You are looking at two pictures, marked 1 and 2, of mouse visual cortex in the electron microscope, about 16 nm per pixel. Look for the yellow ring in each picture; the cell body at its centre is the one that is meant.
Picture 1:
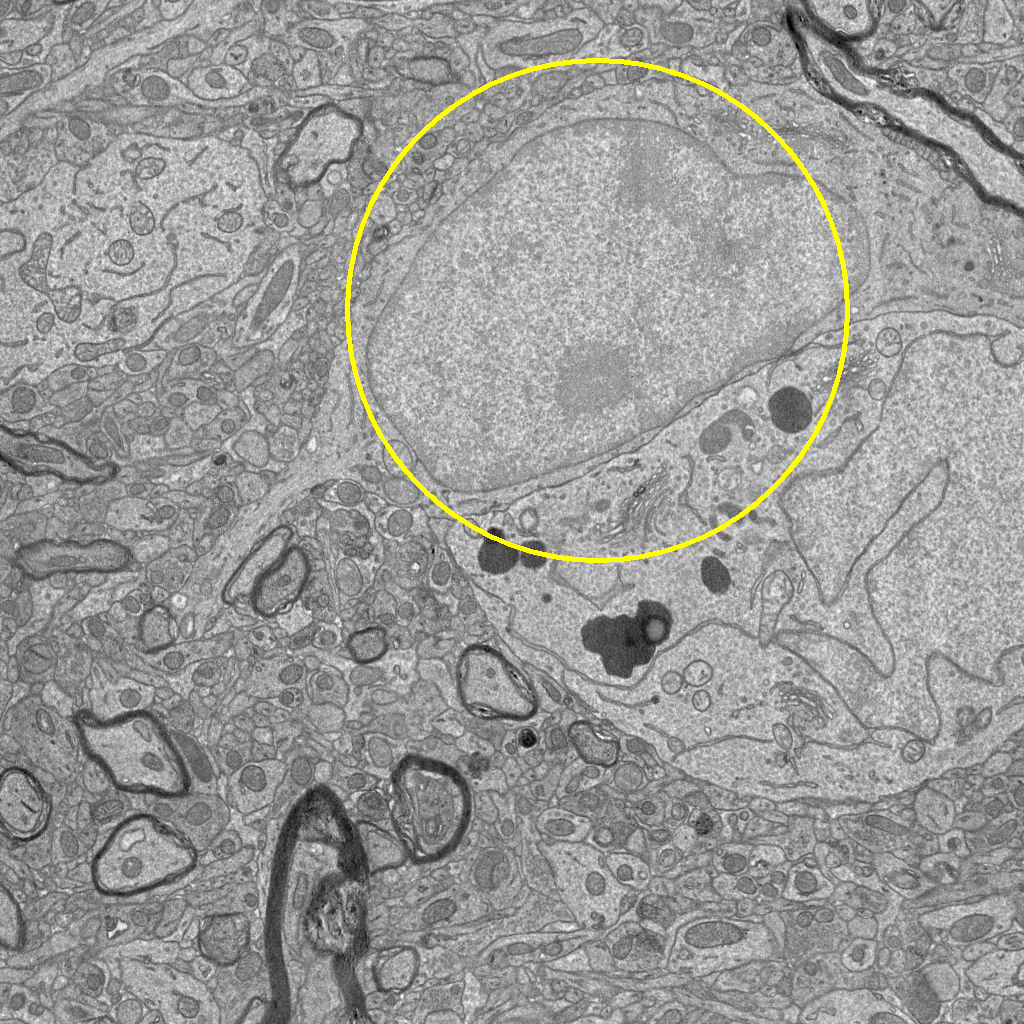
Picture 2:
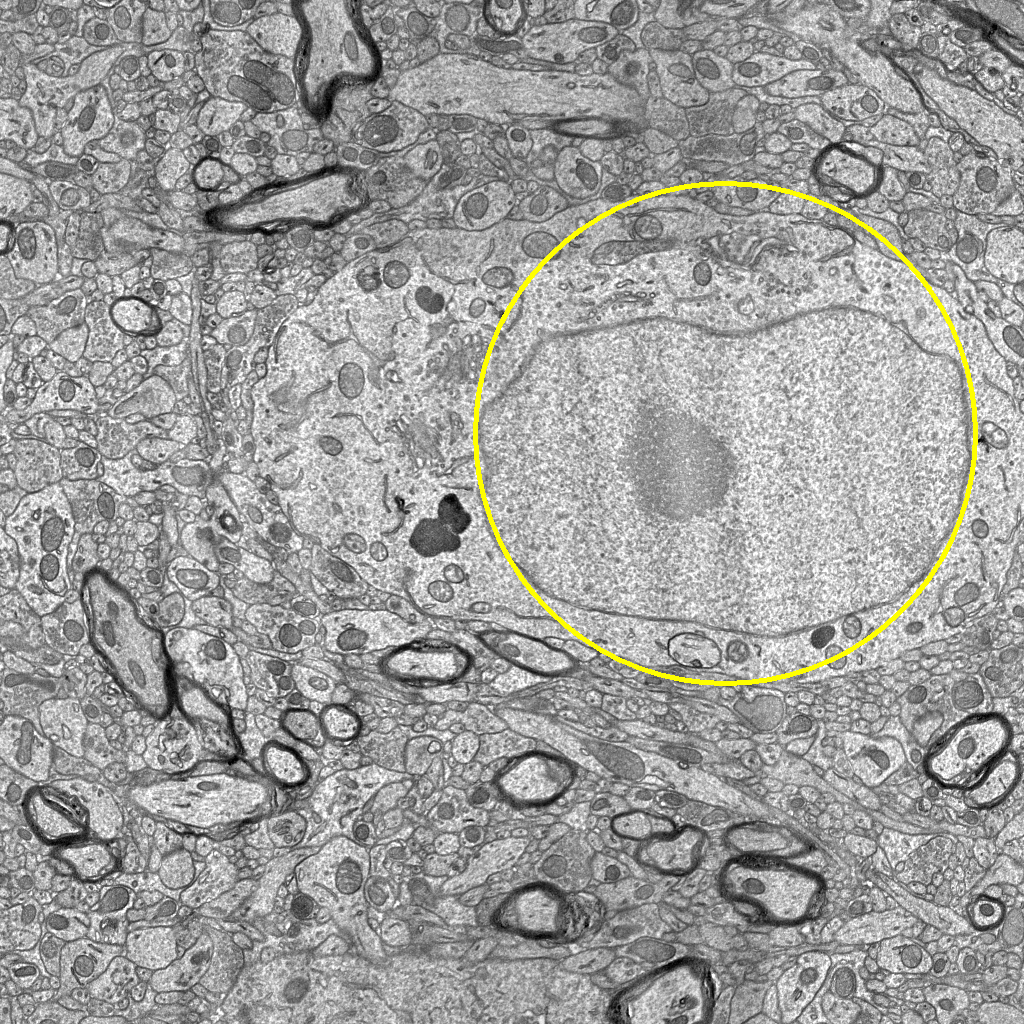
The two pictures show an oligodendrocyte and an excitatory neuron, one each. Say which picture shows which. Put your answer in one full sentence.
It is picture 1 that shows an oligodendrocyte, and picture 2 that shows an excitatory neuron.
